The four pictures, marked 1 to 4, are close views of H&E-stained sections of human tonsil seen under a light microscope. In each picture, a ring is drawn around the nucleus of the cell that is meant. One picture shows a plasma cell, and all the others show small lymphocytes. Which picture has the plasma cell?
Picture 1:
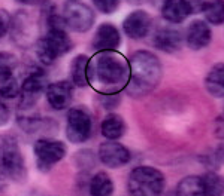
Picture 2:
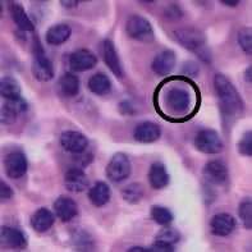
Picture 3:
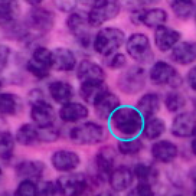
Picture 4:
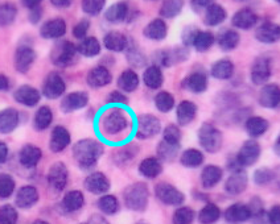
2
